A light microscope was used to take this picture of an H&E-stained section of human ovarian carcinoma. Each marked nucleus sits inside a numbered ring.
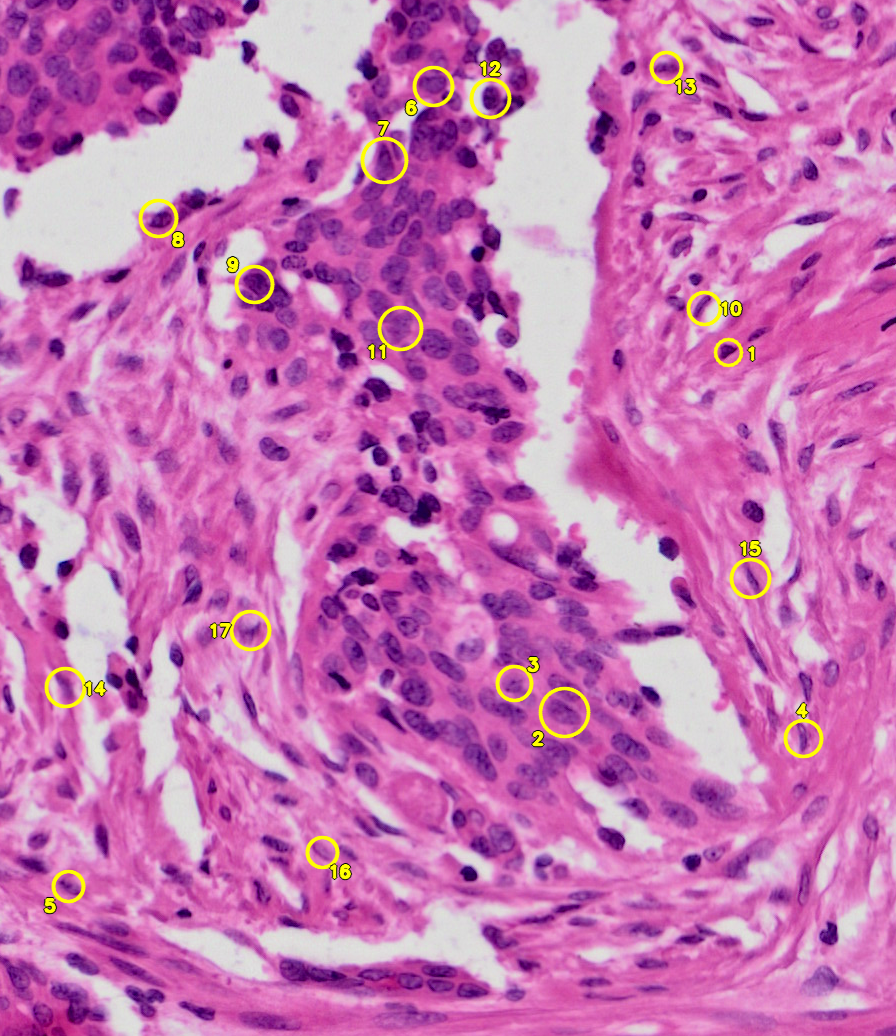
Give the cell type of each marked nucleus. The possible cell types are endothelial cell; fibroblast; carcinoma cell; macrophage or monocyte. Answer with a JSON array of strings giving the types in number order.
["fibroblast", "carcinoma cell", "macrophage or monocyte", "fibroblast", "fibroblast", "carcinoma cell", "carcinoma cell", "carcinoma cell", "carcinoma cell", "fibroblast", "carcinoma cell", "carcinoma cell", "fibroblast", "fibroblast", "fibroblast", "fibroblast", "fibroblast"]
